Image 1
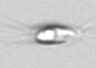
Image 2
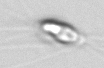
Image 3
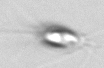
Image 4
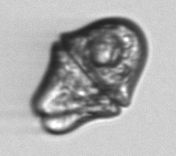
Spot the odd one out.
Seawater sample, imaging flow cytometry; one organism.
Picture 4 (Akashiwo among Chrysochromulina parkeae).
